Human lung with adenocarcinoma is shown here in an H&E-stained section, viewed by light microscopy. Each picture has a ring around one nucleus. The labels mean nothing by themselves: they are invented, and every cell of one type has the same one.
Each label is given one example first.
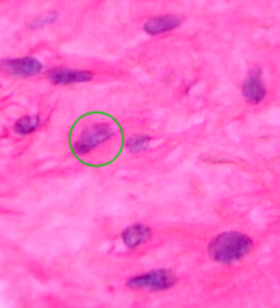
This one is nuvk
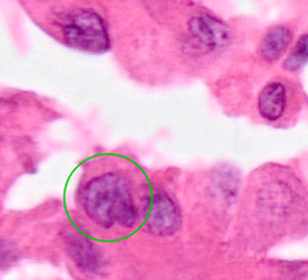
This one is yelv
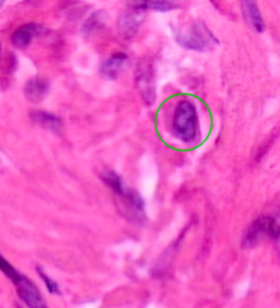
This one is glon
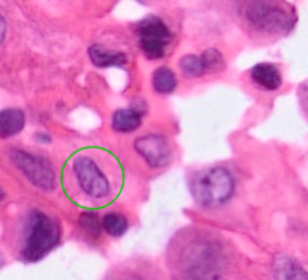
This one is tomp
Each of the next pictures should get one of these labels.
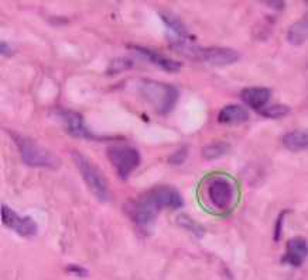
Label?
glon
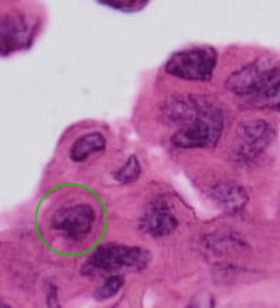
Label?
yelv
